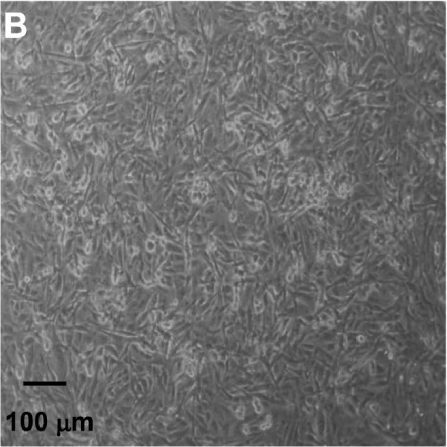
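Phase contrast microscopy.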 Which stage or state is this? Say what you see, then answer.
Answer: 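Cells fill the whole field edge to edge. No bare areas of dish are visible between cells.
Answer: confluent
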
